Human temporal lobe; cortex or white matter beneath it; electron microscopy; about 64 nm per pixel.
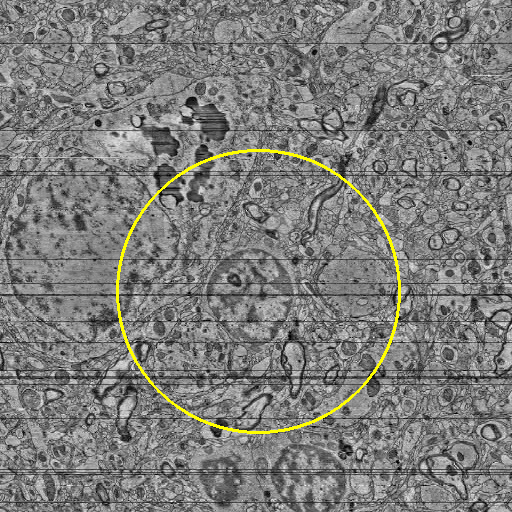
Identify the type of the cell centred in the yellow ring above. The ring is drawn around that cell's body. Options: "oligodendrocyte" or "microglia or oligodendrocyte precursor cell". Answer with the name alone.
oligodendrocyte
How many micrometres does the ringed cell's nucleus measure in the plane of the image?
Roughly 6 micrometers across, in this plane.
